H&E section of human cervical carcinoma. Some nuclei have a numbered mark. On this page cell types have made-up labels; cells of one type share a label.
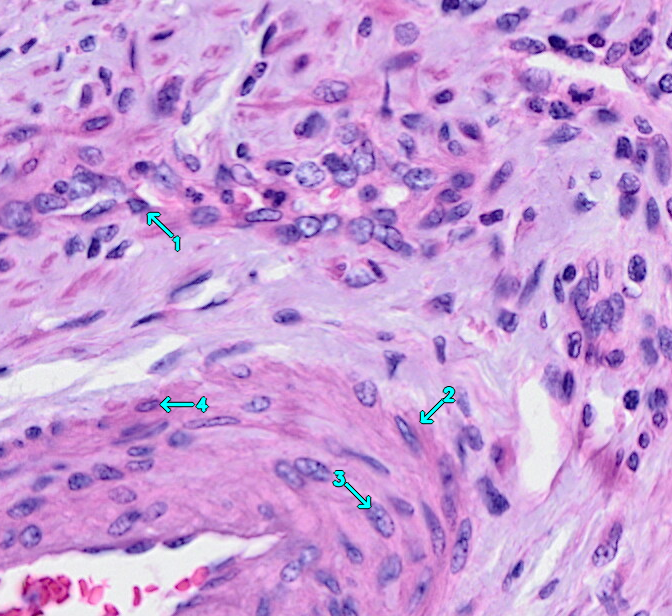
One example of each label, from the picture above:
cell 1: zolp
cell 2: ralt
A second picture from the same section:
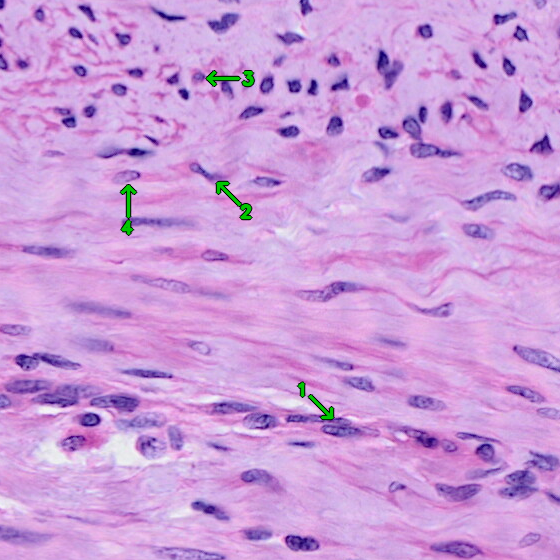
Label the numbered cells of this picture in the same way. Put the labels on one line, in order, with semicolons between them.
zolp; ralt; ralt; ralt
